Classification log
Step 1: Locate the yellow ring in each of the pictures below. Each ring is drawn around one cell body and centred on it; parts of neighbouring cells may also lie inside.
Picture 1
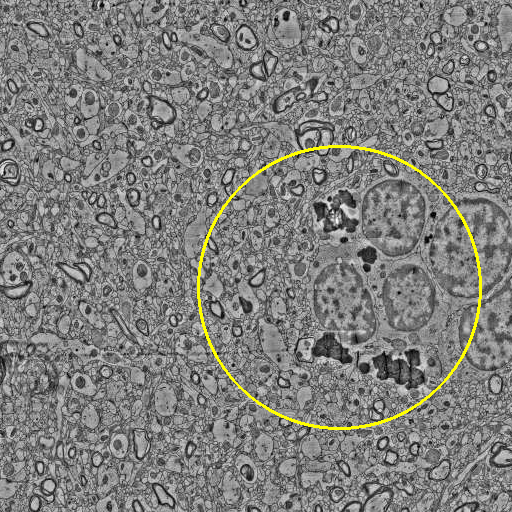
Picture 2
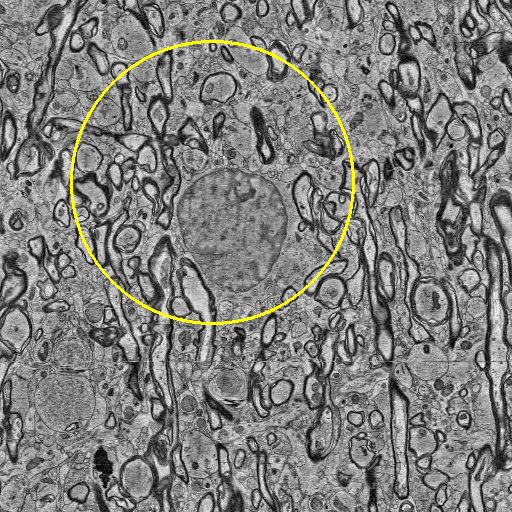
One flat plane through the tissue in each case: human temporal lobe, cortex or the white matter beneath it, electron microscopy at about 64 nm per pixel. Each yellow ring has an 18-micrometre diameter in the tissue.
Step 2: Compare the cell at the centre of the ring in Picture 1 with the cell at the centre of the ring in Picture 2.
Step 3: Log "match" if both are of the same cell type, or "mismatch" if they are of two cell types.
match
